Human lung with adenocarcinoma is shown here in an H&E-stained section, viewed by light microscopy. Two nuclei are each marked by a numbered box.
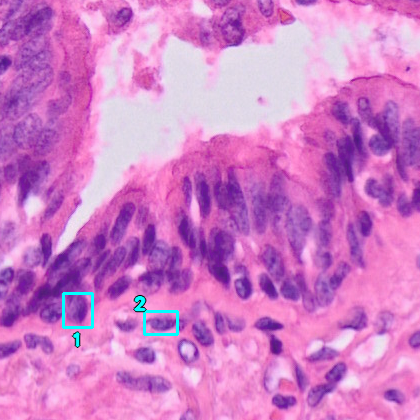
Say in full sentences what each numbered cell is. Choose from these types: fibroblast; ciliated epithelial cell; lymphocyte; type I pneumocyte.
Cell 1 is a ciliated epithelial cell. Cell 2 is a lymphocyte.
